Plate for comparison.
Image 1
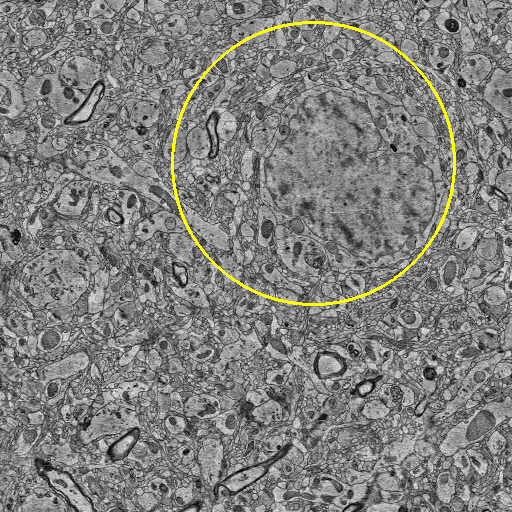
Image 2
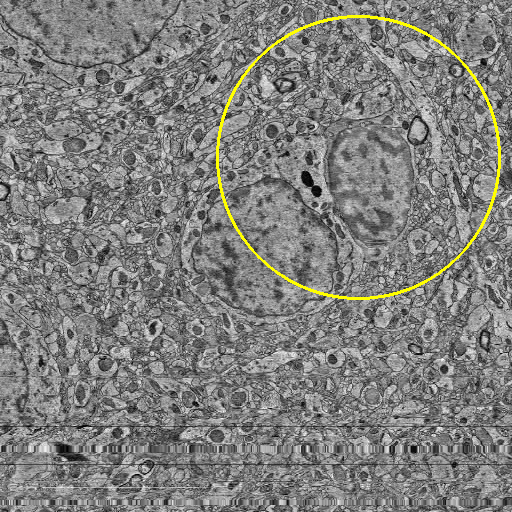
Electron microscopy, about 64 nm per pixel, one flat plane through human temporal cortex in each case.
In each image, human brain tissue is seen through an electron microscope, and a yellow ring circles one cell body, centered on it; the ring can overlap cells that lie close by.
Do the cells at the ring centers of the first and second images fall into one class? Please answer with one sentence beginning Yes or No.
No, the first and second images show two classes of cell at the ring centers.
